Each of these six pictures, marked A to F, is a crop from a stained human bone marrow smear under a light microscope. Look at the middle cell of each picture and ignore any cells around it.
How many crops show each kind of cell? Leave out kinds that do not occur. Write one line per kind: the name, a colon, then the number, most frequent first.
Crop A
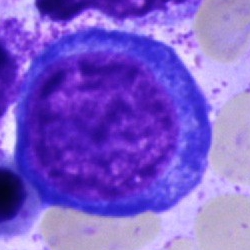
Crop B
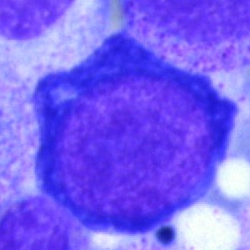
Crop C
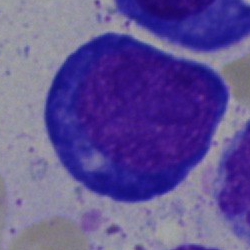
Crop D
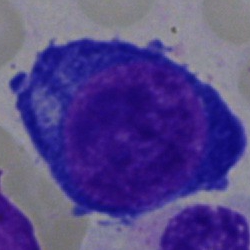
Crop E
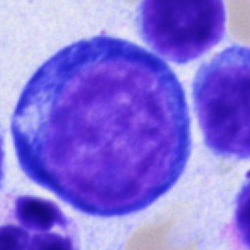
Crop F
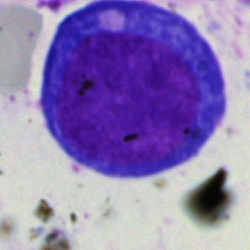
proerythroblast: 6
